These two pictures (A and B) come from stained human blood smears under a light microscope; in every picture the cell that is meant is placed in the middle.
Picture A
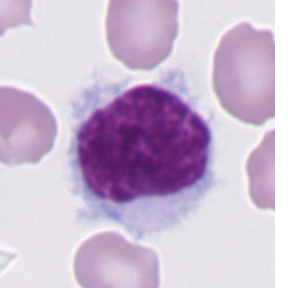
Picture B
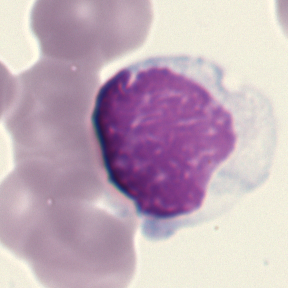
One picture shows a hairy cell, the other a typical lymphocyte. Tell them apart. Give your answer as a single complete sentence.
Picture B shows a typical lymphocyte, while picture A shows a hairy cell.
